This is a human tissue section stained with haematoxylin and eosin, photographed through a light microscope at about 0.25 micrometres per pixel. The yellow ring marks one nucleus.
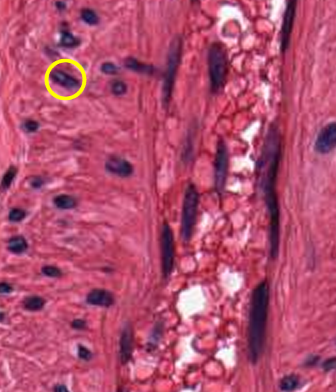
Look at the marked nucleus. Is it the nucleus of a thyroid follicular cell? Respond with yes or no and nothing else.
no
